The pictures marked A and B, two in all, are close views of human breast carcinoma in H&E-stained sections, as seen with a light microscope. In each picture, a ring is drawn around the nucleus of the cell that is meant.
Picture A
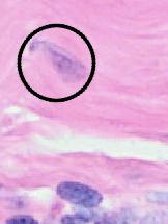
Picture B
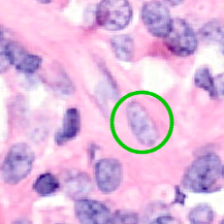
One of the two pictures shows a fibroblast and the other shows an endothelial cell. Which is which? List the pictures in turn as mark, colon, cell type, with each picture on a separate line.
A: fibroblast
B: endothelial cell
